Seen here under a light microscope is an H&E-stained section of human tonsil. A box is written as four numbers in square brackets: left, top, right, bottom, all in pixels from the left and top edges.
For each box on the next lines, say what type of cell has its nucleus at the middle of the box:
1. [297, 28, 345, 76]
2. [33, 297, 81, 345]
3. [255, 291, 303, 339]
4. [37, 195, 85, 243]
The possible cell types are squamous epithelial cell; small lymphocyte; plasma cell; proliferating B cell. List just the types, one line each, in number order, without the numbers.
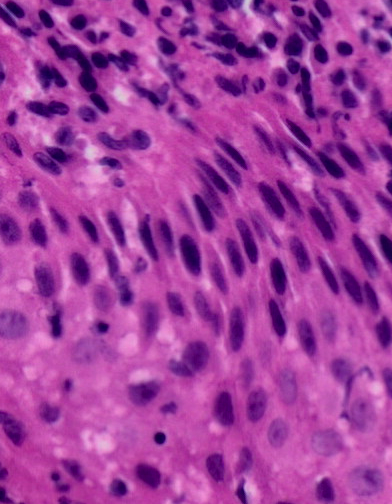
plasma cell
squamous epithelial cell
squamous epithelial cell
squamous epithelial cell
